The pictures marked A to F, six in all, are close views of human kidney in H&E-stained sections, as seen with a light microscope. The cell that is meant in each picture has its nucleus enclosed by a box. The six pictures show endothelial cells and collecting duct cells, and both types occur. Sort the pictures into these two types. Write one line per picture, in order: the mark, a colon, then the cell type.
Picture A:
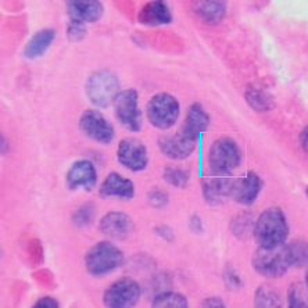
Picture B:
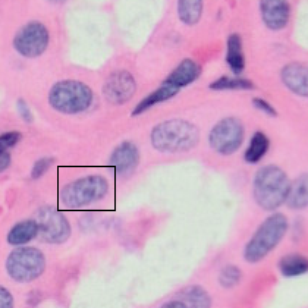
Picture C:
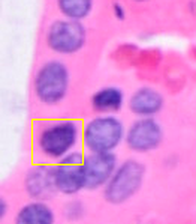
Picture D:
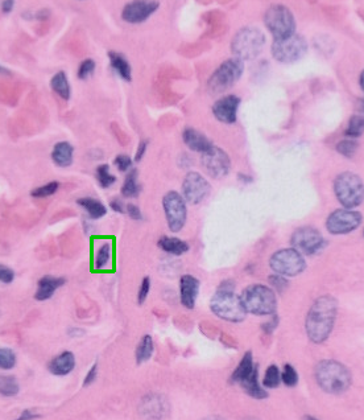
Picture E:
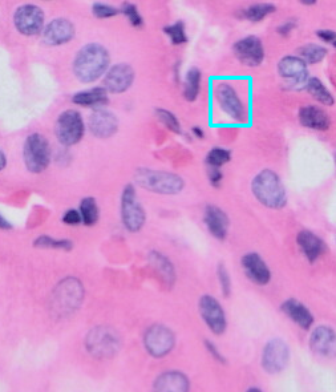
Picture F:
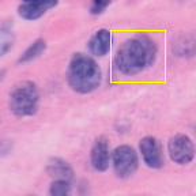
A: collecting duct cell
B: collecting duct cell
C: collecting duct cell
D: endothelial cell
E: endothelial cell
F: collecting duct cell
